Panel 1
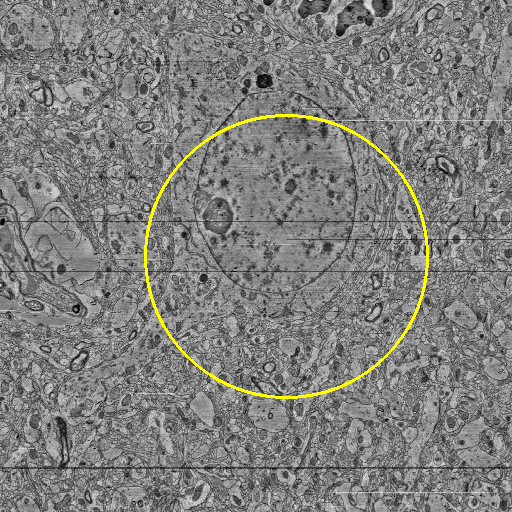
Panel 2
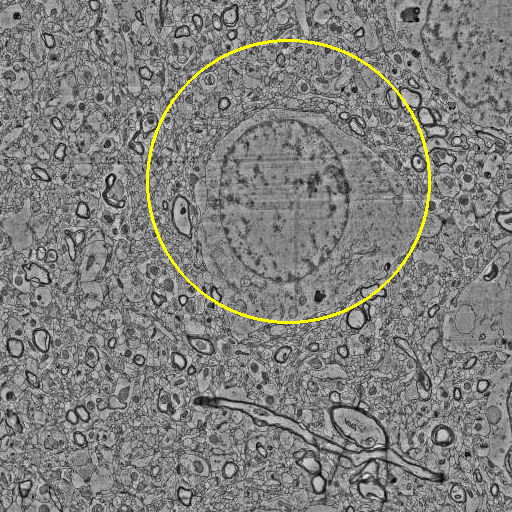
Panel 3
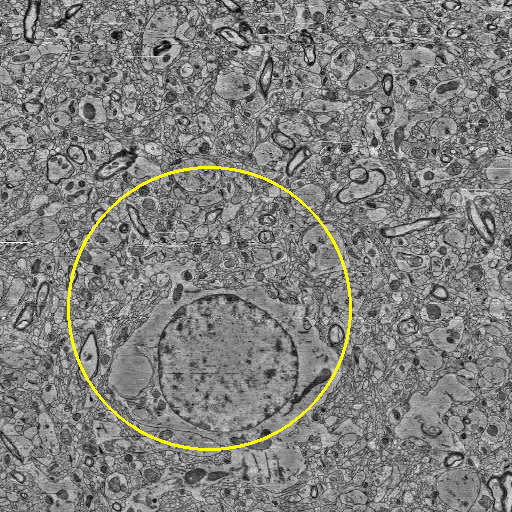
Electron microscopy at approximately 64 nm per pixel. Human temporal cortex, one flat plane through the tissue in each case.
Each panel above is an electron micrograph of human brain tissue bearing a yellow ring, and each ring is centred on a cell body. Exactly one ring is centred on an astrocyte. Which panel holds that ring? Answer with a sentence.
That ring is in Panel 3.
